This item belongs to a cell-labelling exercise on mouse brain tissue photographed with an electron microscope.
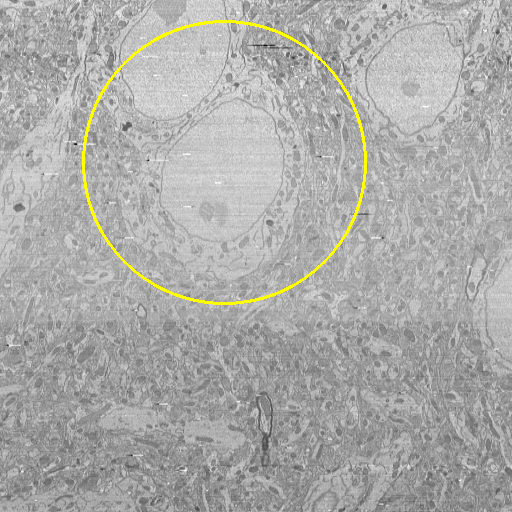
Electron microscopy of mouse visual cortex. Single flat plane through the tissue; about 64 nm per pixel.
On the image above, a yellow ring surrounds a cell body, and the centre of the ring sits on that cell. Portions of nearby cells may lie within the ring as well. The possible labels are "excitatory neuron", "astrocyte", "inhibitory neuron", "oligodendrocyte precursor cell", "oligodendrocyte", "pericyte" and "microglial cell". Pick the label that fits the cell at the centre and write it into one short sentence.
This cell should be labelled as an excitatory neuron.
